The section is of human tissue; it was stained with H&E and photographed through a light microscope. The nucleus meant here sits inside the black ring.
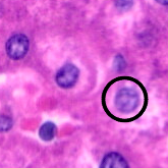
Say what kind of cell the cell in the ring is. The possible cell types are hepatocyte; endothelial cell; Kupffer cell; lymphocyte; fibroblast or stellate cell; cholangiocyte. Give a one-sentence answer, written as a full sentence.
The identity of the cell in the ring is that of a hepatocyte.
